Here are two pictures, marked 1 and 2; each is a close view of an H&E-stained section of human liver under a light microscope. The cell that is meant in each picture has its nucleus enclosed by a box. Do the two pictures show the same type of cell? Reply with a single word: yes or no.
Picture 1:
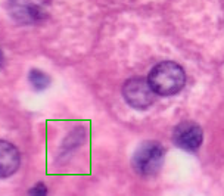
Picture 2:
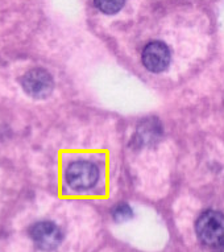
no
